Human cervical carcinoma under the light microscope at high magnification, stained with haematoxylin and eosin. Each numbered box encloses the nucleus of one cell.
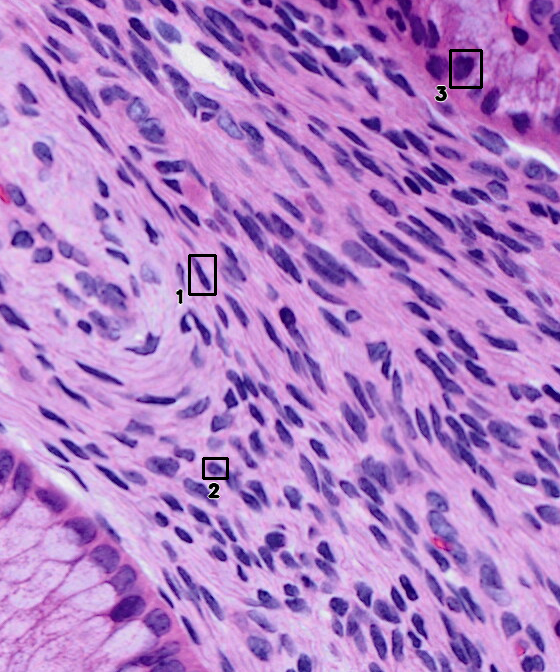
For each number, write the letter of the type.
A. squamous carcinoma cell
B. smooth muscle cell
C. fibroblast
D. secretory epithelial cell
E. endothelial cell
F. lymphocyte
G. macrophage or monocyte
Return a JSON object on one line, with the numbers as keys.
{"1": "C", "2": "C", "3": "D"}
